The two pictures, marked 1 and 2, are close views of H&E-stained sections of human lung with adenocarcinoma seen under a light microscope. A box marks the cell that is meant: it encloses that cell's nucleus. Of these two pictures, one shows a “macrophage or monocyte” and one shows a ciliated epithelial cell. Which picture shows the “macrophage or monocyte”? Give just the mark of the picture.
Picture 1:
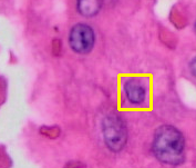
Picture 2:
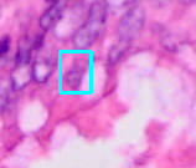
1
